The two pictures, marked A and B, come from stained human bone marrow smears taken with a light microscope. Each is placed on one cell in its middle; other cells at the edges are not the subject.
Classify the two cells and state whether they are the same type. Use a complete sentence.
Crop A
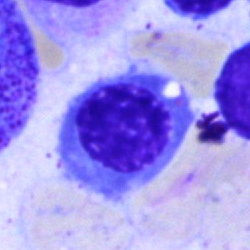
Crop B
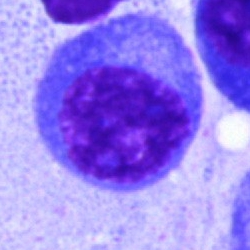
No, a plasma cell is the cell of crop B, while a normoblast is the cell of crop A.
